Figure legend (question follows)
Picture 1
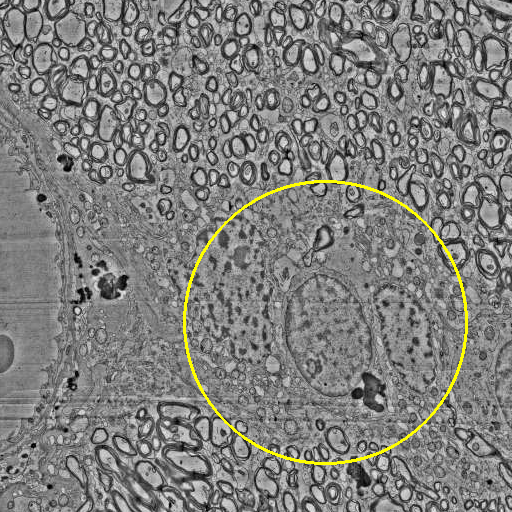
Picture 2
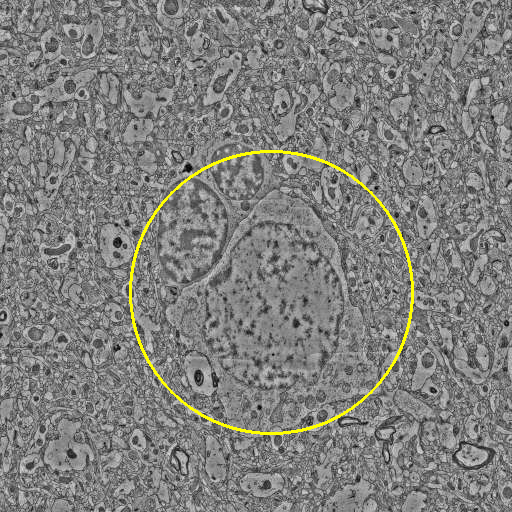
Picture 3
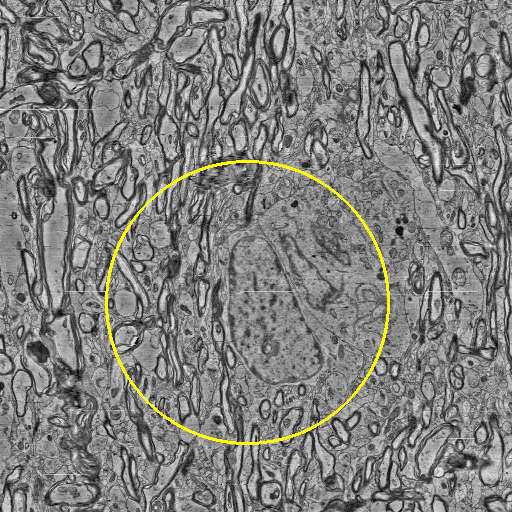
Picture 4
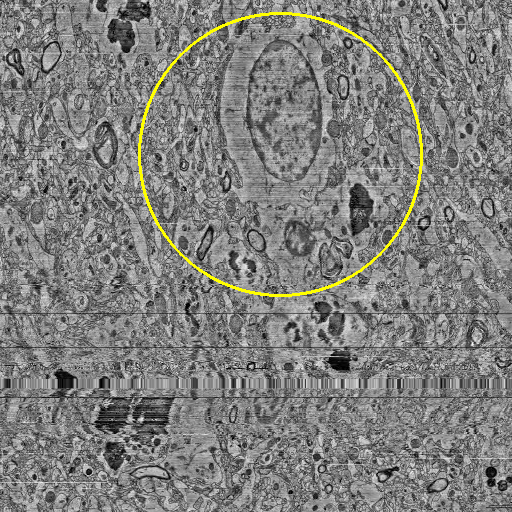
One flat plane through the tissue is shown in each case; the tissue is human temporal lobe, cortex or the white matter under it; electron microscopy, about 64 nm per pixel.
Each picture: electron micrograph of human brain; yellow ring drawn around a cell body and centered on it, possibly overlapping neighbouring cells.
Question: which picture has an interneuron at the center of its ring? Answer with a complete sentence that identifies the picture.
Picture 2 has it at the center of its ring.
